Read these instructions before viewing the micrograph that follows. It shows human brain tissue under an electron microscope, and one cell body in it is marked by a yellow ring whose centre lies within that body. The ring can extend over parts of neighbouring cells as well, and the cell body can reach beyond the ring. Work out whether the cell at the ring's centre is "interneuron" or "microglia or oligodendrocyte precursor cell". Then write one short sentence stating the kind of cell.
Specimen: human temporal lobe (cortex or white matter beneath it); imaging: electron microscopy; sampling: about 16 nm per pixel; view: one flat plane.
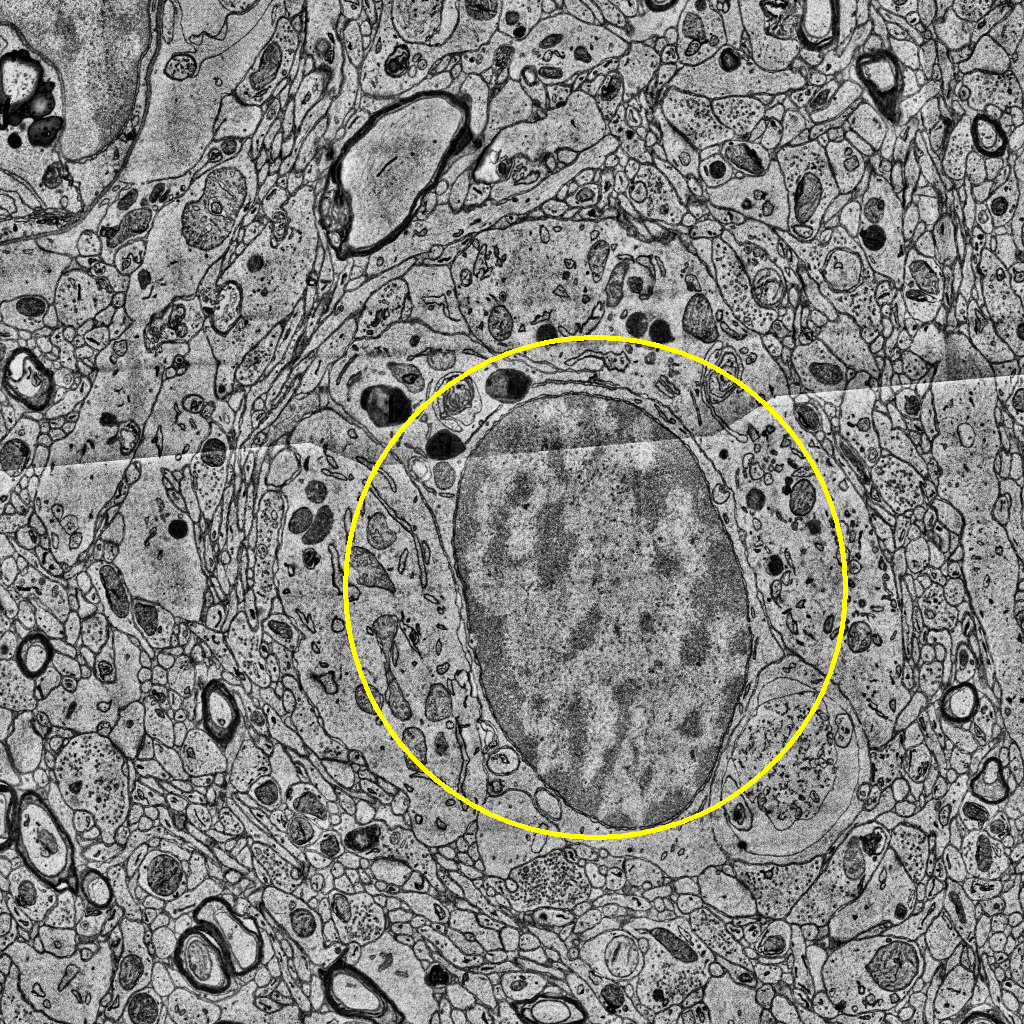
The cell at the ring's centre is a microglial cell or oligodendrocyte precursor cell.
